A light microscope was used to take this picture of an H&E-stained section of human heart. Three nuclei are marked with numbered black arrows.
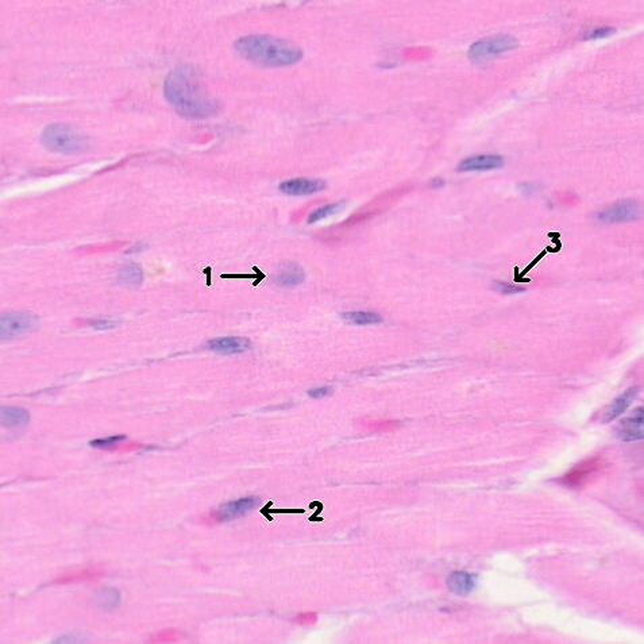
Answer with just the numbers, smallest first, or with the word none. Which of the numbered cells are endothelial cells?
2, 3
